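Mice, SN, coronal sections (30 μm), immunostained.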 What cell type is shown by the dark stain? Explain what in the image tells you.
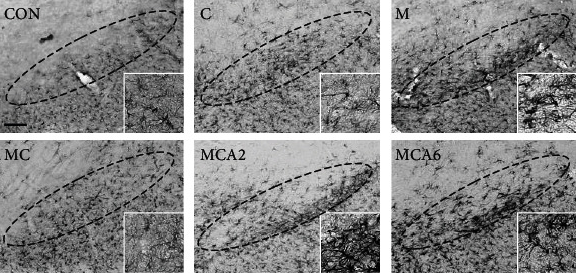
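Thin, dark, branching processes form a fibrous network across the tissue. The insets show star-shaped cells with many long, fine processes.
Astrocytes.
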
